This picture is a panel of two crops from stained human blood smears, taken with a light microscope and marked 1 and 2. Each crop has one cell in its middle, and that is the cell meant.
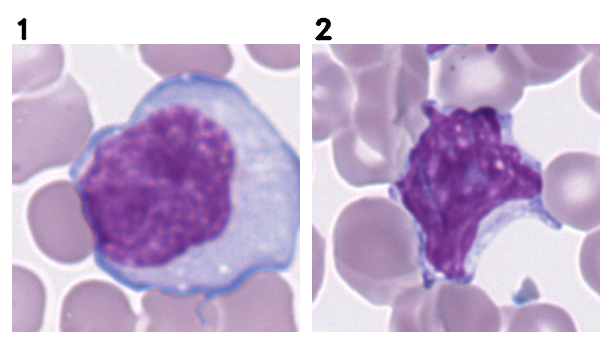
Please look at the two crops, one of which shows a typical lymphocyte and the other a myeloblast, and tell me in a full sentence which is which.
Well, crop 1 is a myeloblast, and crop 2 is a typical lymphocyte.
